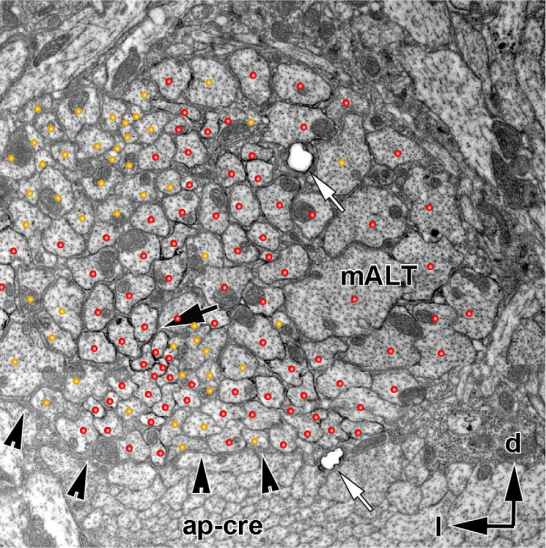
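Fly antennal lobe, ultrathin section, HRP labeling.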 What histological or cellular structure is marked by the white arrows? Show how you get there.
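The arrows point to small round empty white lumens. The lumens are bounded by a thin dark wall among the axon profiles.
Conclusion: tracheoles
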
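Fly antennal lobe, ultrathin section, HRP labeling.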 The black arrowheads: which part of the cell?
Glia processes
